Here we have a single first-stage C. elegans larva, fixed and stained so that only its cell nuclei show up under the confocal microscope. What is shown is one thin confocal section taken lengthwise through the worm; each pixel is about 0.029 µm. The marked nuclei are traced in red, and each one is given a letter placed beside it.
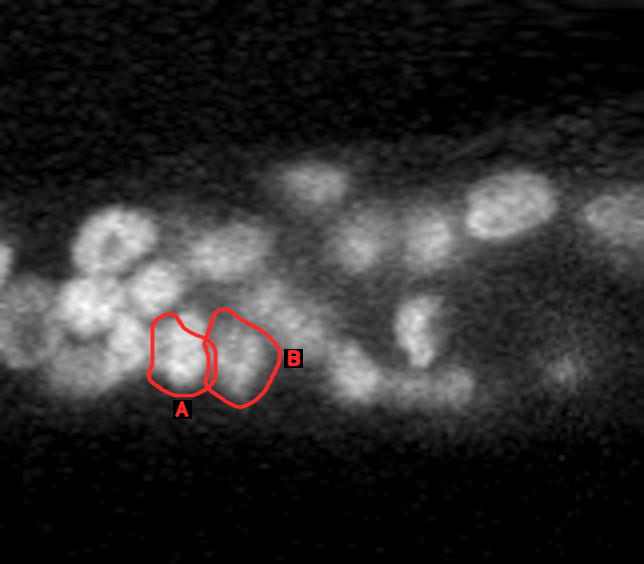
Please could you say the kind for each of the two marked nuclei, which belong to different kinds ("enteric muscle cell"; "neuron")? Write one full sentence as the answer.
A is the nucleus of an enteric muscle cell; B is the nucleus of a neuron.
